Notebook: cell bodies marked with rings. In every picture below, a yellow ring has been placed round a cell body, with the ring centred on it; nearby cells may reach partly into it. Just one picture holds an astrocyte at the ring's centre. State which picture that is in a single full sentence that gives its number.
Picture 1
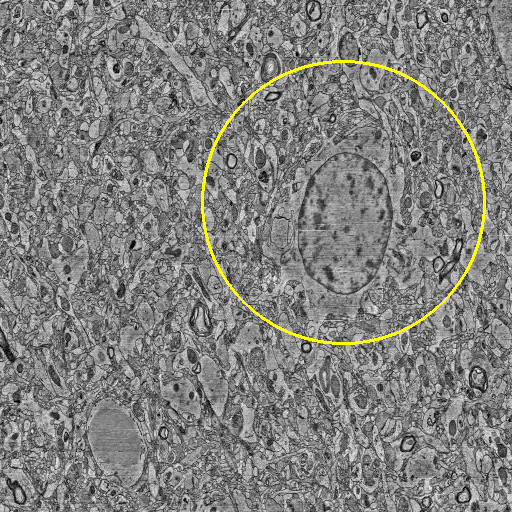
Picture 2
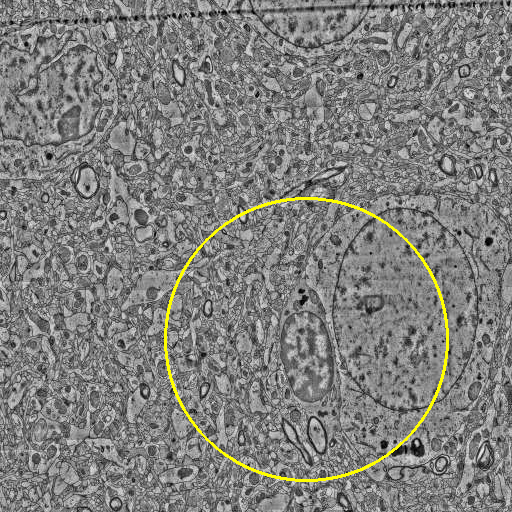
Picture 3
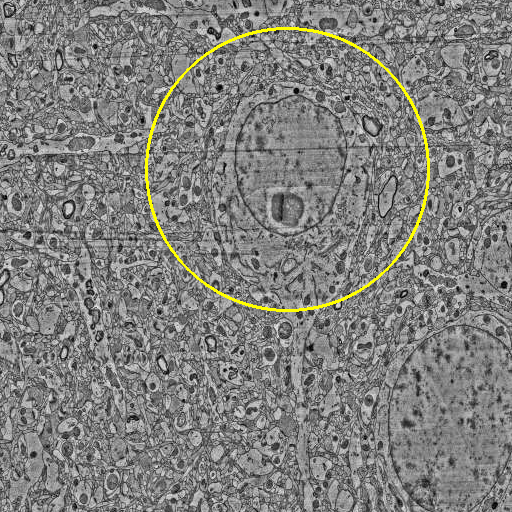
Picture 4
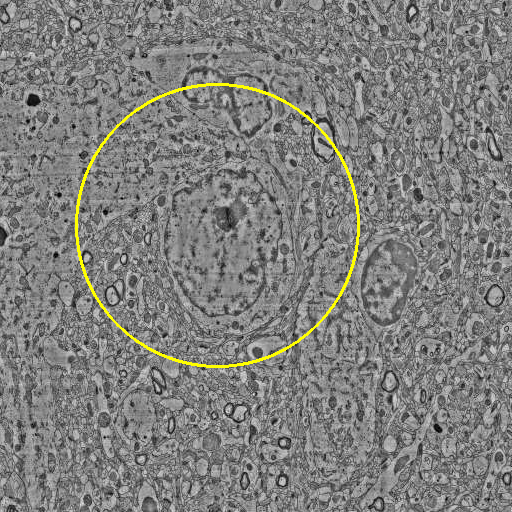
It is picture 1 whose ring has the wanted cell right at its centre.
